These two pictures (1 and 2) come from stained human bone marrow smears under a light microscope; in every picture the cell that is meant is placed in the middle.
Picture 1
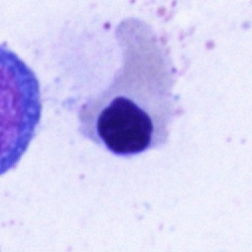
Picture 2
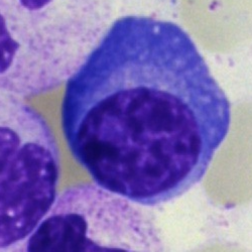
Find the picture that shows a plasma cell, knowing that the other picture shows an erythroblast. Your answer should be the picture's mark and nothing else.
2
